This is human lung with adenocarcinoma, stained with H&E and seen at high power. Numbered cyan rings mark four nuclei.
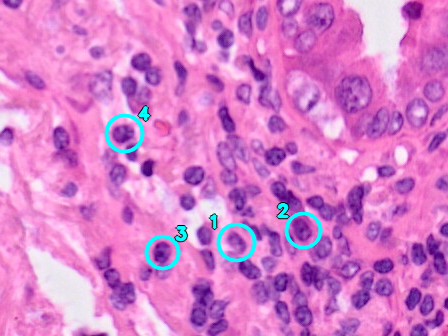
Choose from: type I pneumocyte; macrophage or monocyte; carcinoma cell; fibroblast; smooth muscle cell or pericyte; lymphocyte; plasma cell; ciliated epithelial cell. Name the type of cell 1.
lymphocyte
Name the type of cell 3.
lymphocyte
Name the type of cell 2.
plasma cell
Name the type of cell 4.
lymphocyte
